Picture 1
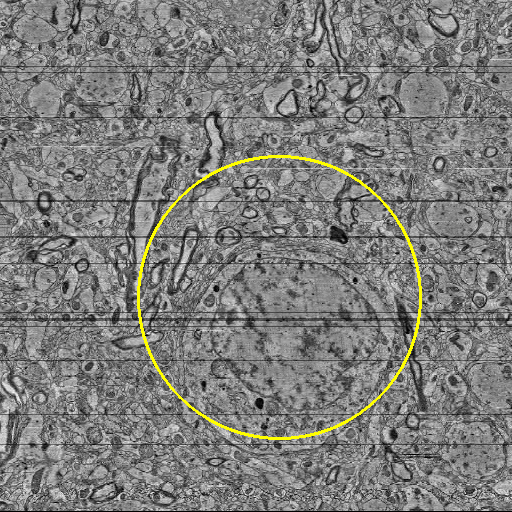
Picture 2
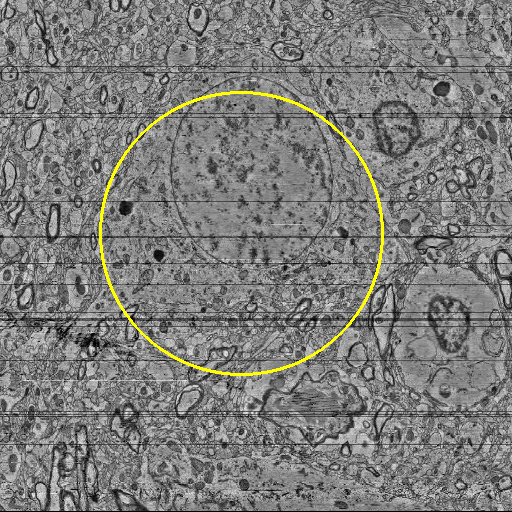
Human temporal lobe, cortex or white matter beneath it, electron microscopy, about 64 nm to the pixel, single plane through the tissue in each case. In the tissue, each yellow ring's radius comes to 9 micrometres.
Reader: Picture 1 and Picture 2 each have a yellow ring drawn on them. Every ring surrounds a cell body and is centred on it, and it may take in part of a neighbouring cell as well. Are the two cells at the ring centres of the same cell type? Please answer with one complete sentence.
Yes, both cells are of the same cell type.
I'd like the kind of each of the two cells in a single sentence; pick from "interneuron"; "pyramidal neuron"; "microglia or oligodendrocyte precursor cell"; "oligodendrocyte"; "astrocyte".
Both pictures show a pyramidal neuron at the centre of the ring.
